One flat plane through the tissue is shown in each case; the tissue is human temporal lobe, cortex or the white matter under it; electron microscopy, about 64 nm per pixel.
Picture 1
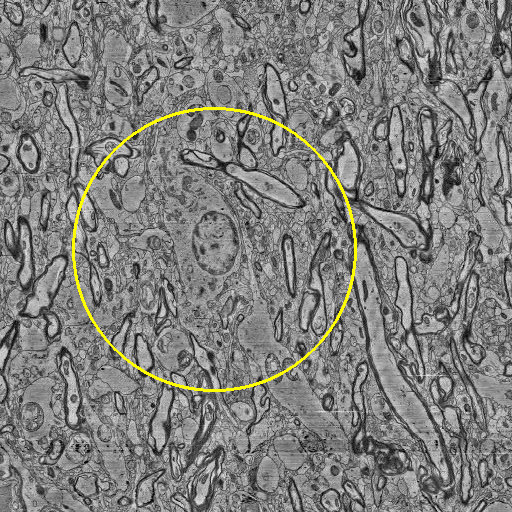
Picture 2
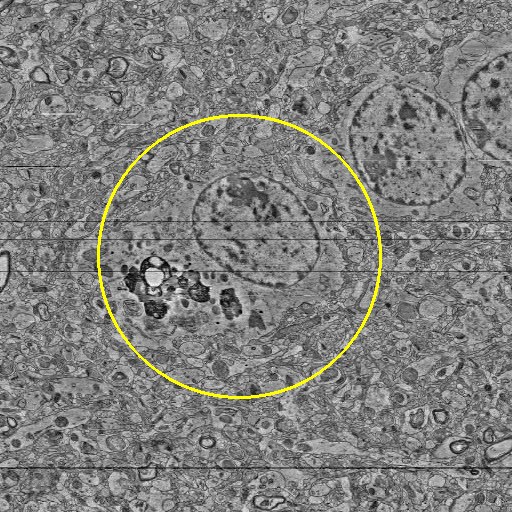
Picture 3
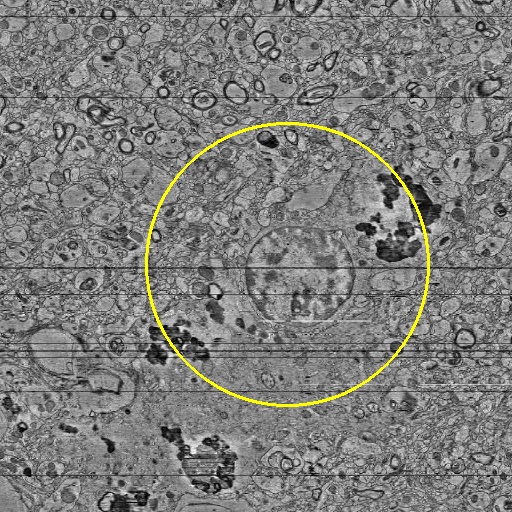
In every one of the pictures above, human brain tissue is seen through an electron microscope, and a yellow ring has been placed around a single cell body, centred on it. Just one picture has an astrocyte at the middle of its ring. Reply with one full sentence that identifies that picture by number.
It is picture 2 that shows the wanted cell at its ring's centre.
